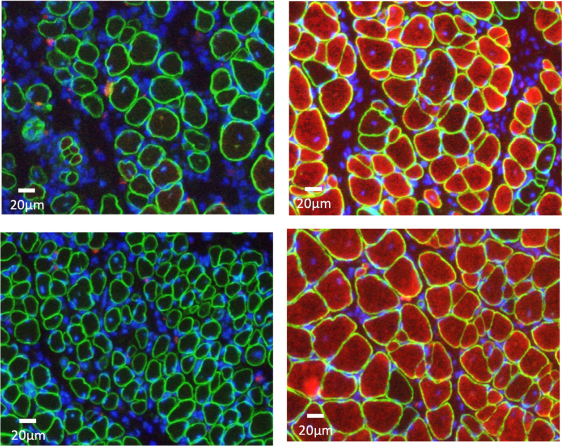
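Four fields of skeletal muscle in cross-section, each showing muscle fibers as rounded to polygonal profiles outlined by a thin green rim at the cell membrane. Blue nuclei lie at the fiber edges and scattered in the spaces between fibers. In the two left fields the fibers are small and rounded and their interiors are dark, with no red filling. Between them lie areas rich in blue nuclei, widest in the upper field. In the two right fields most fibers are larger and more tightly packed, and their cytoplasm is filled with red. A few fibers there remain unfilled.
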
